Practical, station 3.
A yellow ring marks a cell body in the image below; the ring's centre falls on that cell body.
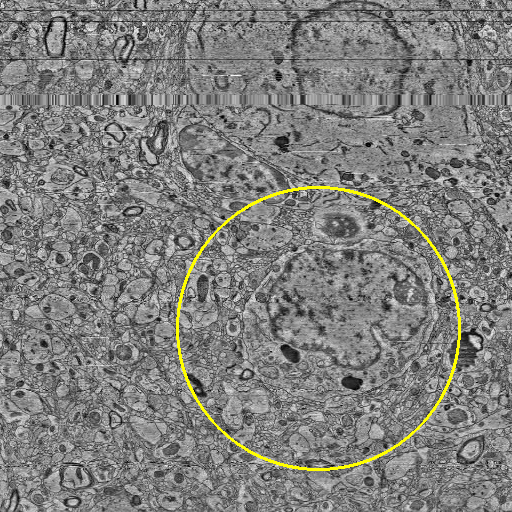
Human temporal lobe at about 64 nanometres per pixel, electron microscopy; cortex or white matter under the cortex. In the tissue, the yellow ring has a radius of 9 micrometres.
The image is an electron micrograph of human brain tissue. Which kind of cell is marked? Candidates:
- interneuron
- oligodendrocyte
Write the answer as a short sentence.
The marked cell body is that of an interneuron.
